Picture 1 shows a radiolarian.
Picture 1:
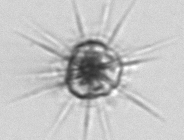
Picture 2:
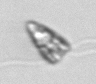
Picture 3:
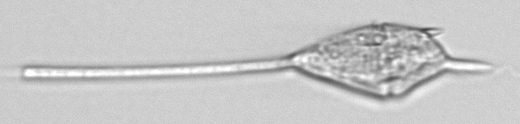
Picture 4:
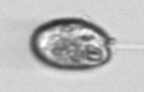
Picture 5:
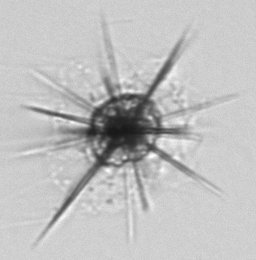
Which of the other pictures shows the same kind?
Picture 5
